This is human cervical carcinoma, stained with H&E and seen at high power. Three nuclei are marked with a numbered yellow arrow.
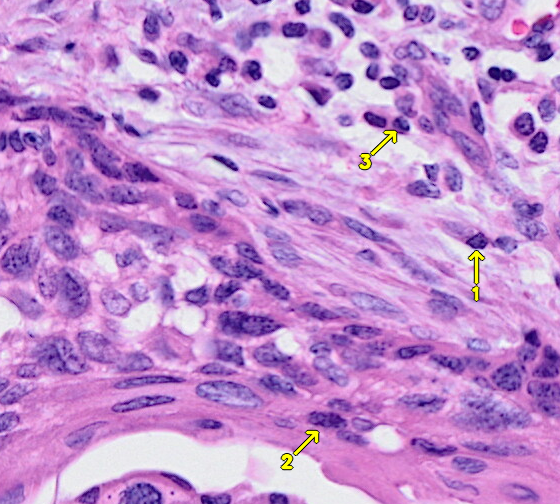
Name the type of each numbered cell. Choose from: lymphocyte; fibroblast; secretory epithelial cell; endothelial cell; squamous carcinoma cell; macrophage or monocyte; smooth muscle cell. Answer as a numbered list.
1. lymphocyte
2. squamous carcinoma cell
3. lymphocyte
